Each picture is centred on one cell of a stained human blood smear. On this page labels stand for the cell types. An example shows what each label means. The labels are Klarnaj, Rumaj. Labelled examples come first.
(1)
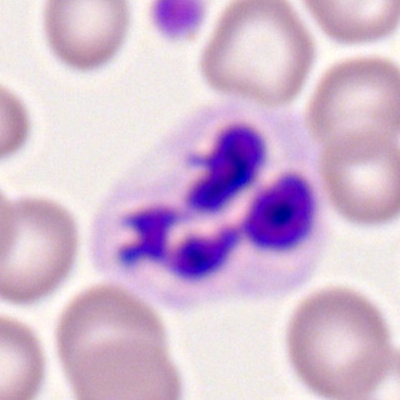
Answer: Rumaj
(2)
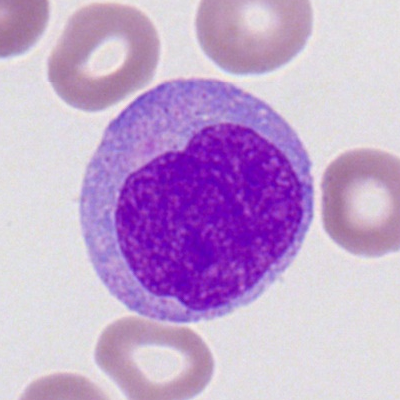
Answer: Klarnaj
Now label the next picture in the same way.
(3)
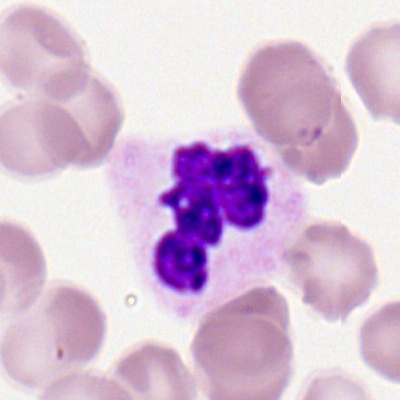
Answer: Rumaj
